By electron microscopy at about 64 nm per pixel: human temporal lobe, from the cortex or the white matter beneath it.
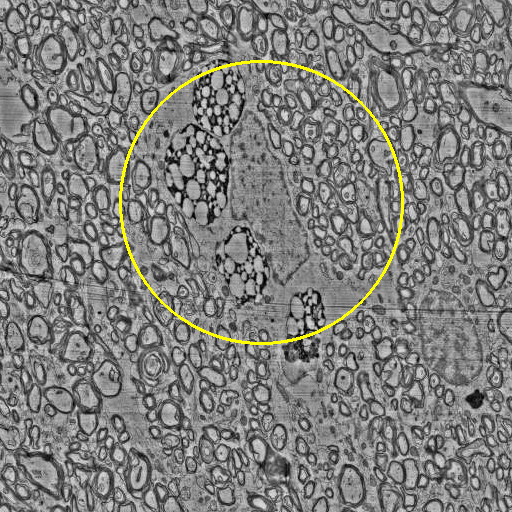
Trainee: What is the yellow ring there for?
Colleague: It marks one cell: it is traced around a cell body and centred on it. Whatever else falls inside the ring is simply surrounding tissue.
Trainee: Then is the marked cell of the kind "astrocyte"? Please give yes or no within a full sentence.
Yes, the marked cell at the centre of the yellow ring is of the kind asked about.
